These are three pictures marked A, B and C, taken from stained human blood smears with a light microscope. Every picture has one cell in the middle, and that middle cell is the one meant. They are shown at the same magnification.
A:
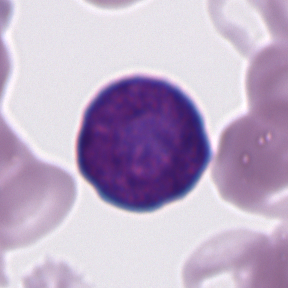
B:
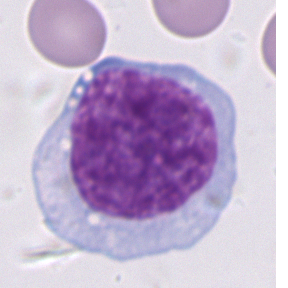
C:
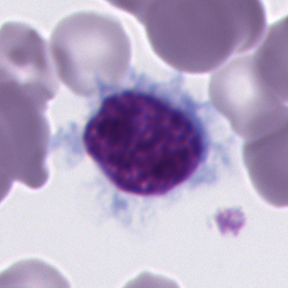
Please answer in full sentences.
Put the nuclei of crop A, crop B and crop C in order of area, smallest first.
From the smallest up, the order is C, A, B.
